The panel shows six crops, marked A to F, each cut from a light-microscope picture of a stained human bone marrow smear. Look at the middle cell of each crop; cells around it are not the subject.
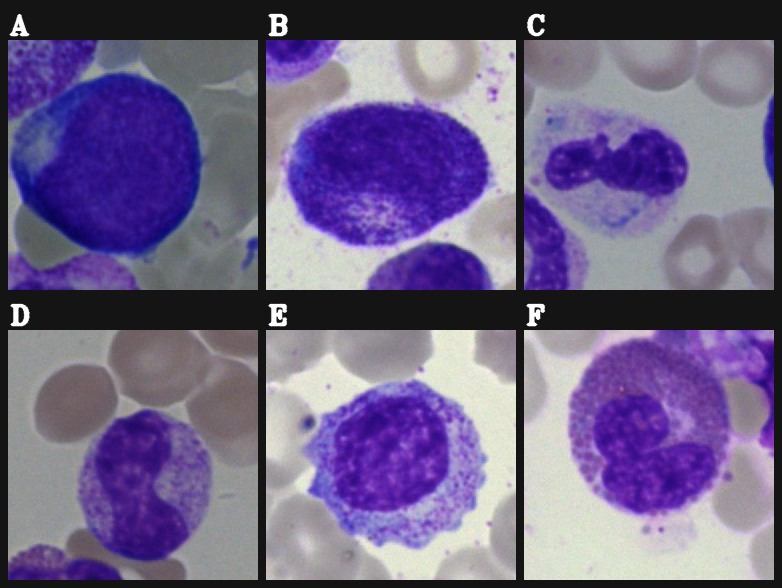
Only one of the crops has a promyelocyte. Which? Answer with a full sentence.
Crop B is where a promyelocyte is to be found.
